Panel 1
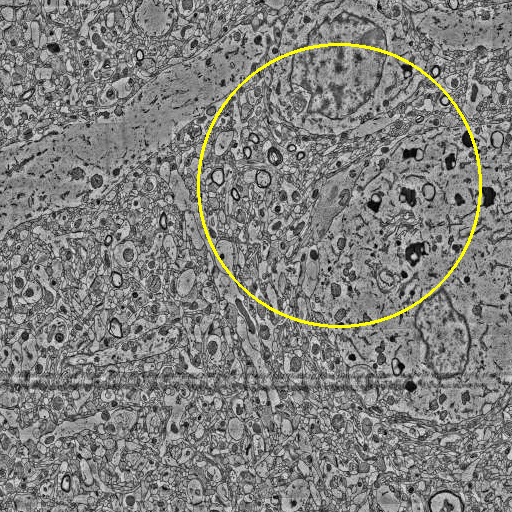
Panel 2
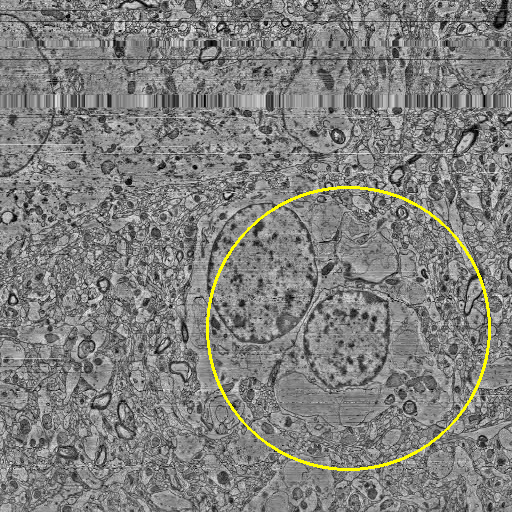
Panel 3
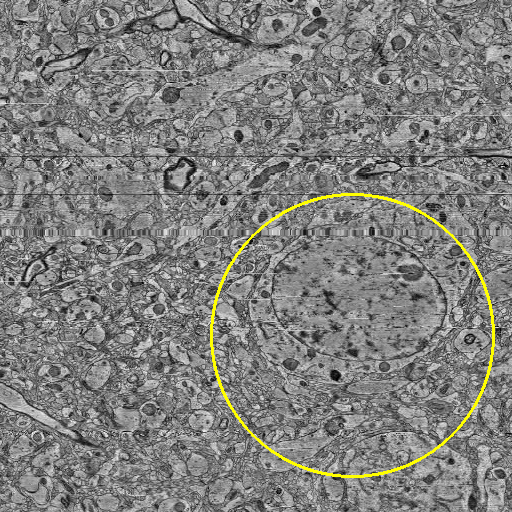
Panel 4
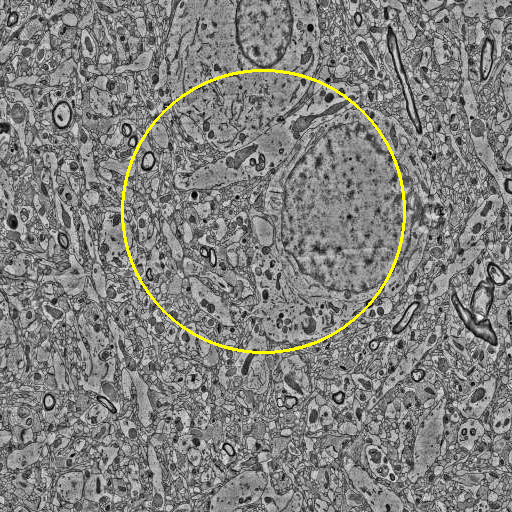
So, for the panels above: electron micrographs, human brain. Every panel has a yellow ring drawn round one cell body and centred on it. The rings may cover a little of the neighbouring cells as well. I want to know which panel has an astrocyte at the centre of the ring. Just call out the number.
2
